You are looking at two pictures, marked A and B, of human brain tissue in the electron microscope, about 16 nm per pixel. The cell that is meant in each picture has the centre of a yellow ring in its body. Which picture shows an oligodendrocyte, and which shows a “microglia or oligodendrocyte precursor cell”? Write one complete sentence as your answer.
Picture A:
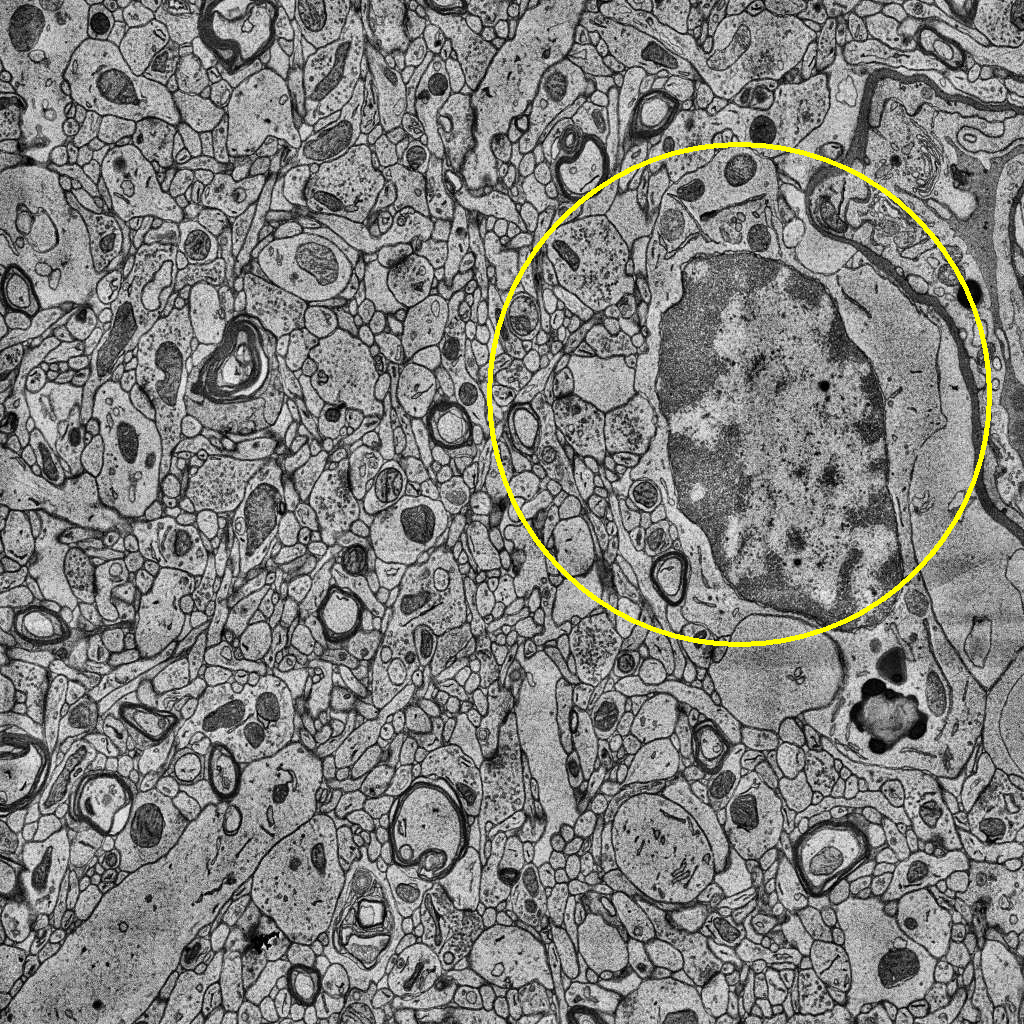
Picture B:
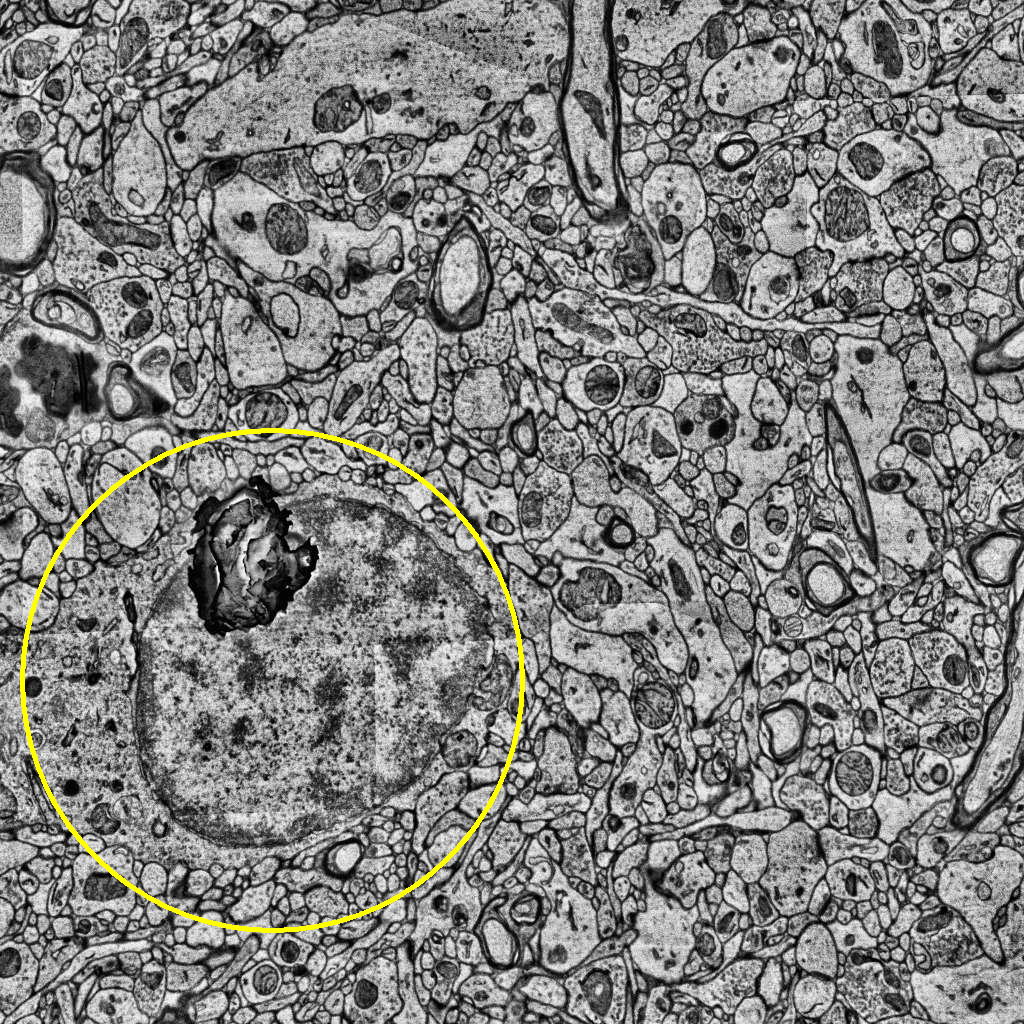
Picture A shows a “microglia or oligodendrocyte precursor cell” and picture B shows an oligodendrocyte.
